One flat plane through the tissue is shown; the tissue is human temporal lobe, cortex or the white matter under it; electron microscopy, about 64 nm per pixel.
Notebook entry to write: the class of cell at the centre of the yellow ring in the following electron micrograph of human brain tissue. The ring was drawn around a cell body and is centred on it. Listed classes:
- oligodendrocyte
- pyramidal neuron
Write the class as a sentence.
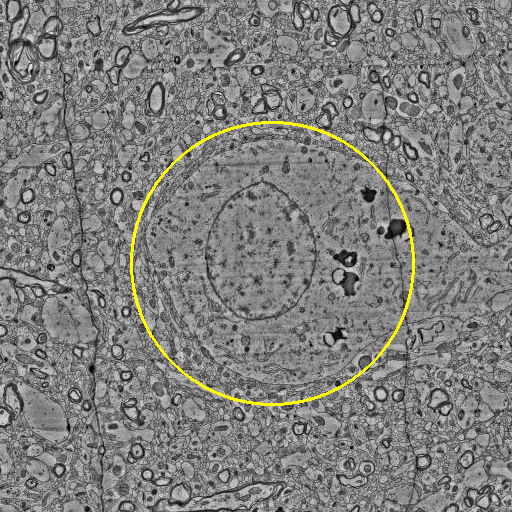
The yellow ring sits on a pyramidal neuron.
